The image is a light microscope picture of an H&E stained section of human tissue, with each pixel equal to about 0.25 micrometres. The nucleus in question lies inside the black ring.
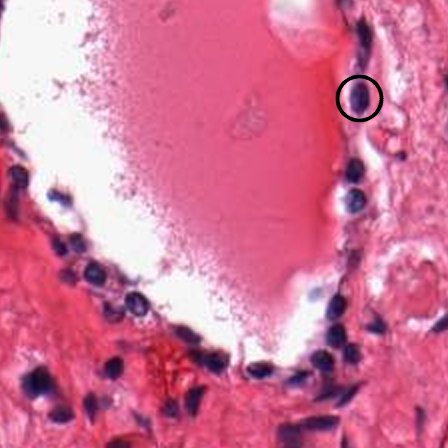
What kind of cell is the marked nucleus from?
thyroid follicular cell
